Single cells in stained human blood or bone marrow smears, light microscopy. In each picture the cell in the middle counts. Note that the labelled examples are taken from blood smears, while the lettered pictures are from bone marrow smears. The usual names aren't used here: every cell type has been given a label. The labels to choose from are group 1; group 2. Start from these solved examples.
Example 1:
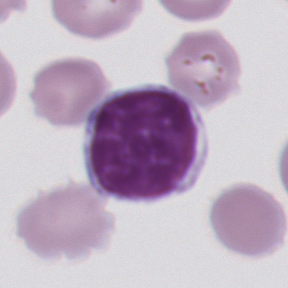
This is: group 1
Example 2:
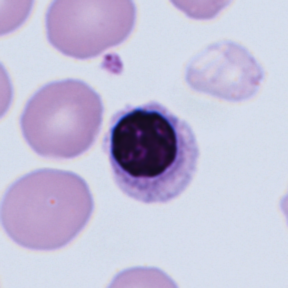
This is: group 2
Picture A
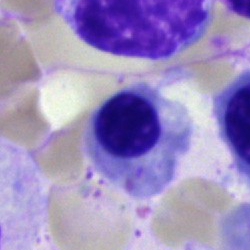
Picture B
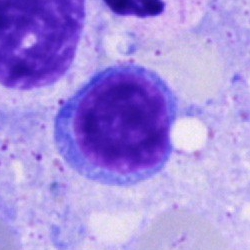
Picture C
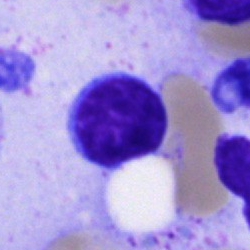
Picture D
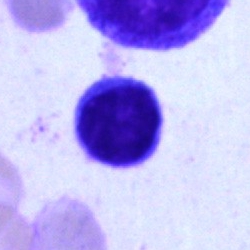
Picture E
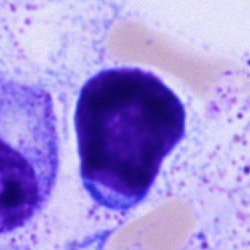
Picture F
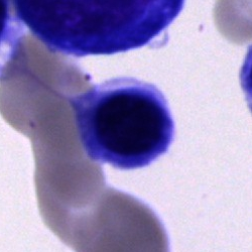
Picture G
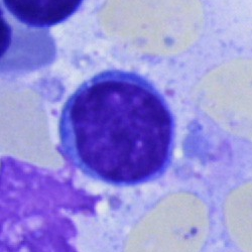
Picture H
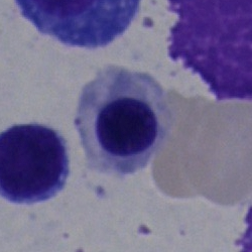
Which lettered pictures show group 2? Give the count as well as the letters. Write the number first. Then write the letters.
3, namely A, F, H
